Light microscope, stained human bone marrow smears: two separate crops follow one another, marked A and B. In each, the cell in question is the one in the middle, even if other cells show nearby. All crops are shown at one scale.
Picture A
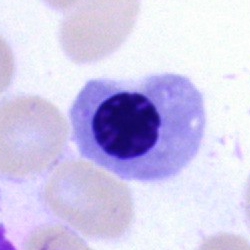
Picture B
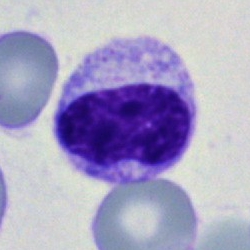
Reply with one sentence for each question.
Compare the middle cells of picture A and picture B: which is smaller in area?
Picture A holds the smaller cell, since the cell in picture B covers about 1.5 times as much area.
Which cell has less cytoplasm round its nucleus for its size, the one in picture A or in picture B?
In picture B the nucleus takes up the larger part of its cell.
